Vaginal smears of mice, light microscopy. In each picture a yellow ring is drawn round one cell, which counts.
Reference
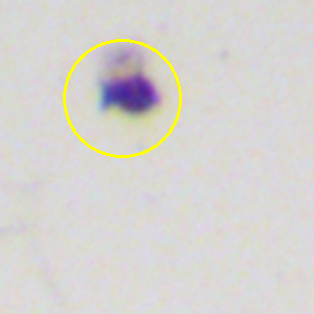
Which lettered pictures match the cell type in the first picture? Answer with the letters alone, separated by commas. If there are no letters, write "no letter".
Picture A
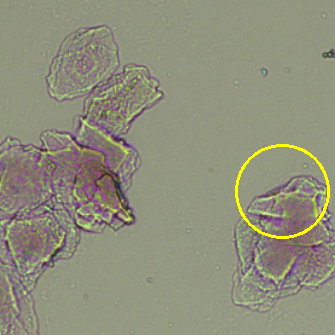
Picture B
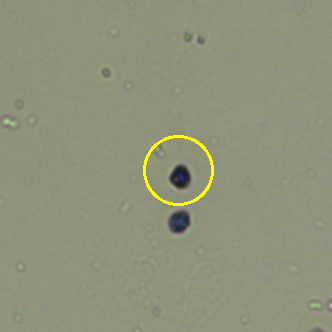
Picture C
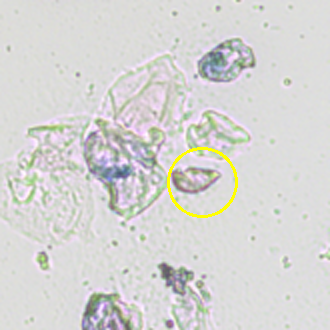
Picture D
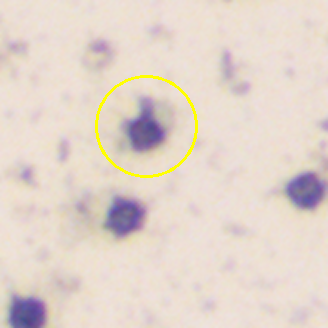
B, D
